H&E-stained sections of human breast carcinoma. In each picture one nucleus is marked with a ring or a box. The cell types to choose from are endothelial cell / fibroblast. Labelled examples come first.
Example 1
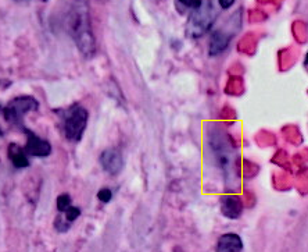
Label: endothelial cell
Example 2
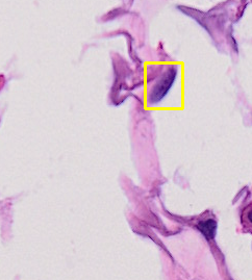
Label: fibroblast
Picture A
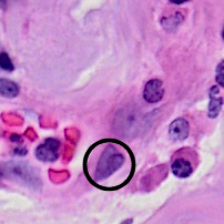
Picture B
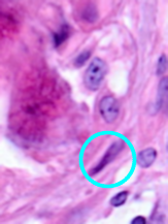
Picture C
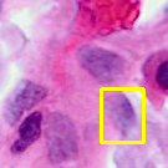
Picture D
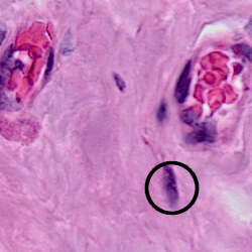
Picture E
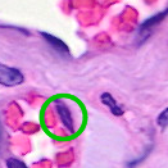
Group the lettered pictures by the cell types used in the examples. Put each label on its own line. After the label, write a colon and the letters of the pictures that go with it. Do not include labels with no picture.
endothelial cell: A, E
fibroblast: B, C, D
